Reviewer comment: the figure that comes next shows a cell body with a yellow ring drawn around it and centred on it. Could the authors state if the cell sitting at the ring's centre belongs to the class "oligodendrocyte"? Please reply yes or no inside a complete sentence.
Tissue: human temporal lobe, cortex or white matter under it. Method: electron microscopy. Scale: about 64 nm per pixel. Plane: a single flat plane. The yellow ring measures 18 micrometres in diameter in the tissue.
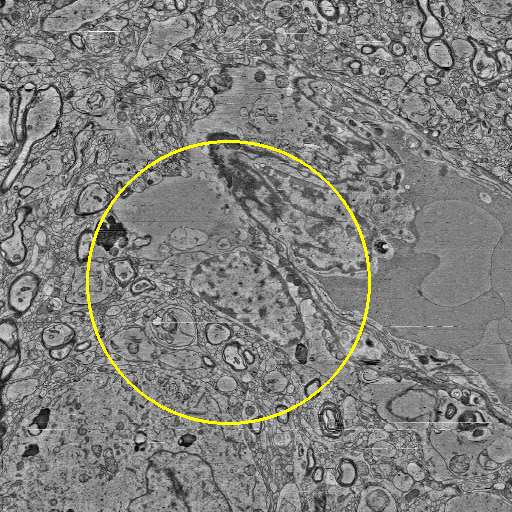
No, in the figure, the cell at the ring's centre belongs to a different class.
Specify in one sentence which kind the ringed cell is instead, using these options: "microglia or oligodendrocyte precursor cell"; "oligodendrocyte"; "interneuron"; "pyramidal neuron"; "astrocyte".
Instead, the cell inside the ring is a microglial cell or oligodendrocyte precursor cell.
